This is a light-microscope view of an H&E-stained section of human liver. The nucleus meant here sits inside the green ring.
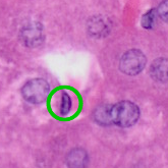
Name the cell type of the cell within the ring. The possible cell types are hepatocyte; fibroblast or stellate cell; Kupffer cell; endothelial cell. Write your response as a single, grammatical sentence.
It is as a fibroblast or stellate cell that the cell within the ring is classified.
